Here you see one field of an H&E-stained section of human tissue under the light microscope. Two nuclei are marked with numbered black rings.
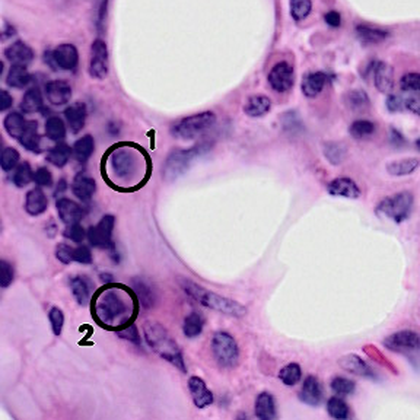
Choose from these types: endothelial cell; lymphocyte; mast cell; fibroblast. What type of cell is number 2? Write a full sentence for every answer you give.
Cell 2 in the field of view is a lymphocyte.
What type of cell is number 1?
That cell with number 1 is a mast cell.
